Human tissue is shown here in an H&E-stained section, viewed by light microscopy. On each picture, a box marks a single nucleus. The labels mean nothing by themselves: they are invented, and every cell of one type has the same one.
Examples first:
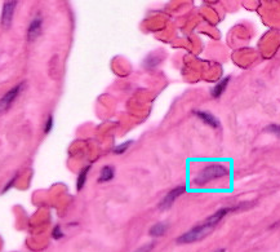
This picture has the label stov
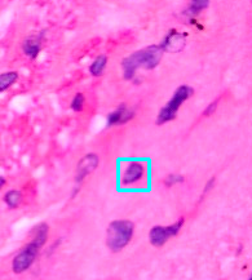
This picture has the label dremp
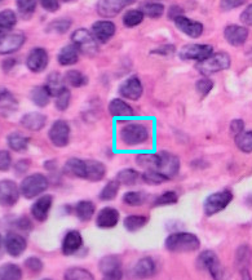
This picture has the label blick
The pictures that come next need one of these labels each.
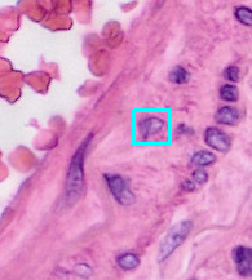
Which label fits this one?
stov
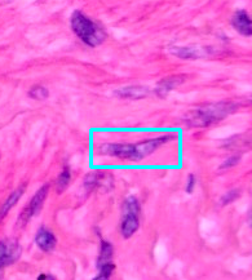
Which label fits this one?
stov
